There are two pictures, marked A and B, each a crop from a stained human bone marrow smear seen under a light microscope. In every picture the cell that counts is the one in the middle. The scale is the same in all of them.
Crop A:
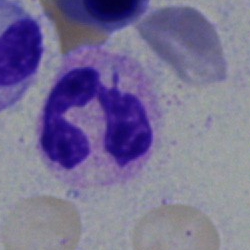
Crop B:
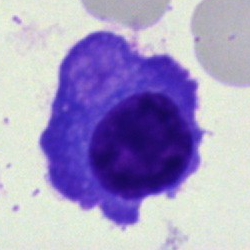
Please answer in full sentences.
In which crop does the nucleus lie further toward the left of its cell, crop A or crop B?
The nucleus in crop A lies further toward the left of its cell.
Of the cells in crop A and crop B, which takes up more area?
Larger is the cell in crop B, at roughly 1.5 times the area of the other.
